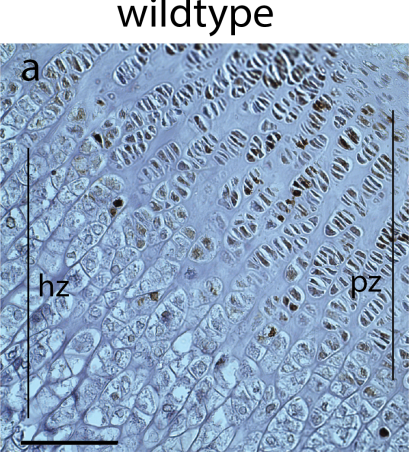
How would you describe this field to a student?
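This is growth plate cartilage in which chondrocytes are arranged in long parallel columns running diagonally across the field. Along the columns the cells are flattened and stacked like coins in the proliferative region, while toward the lower left they become larger and rounder with clear cytoplasm, as hypertrophic chondrocytes. Scattered nuclei are stained brown, lying among the column cells. Pale grey-blue cartilage matrix separates the columns.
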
